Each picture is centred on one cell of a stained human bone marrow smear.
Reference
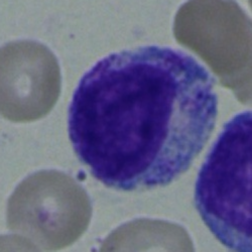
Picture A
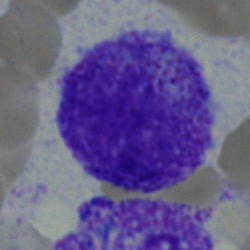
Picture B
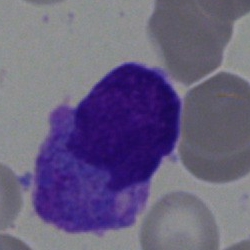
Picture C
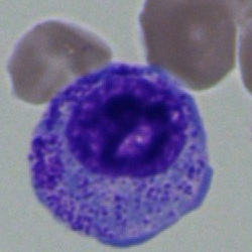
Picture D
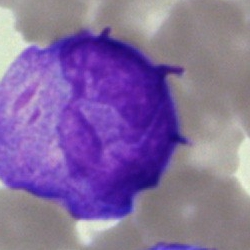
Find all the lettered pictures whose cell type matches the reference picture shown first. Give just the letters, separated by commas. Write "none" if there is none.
A, C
